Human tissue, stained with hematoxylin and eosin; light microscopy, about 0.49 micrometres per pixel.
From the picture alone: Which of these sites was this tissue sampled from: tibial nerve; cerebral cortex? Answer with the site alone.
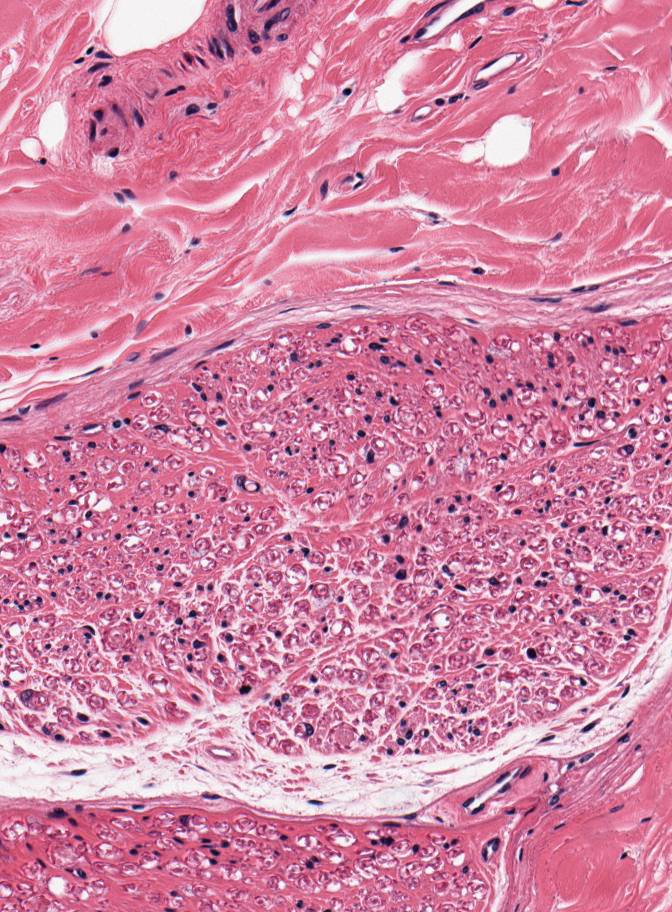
tibial nerve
